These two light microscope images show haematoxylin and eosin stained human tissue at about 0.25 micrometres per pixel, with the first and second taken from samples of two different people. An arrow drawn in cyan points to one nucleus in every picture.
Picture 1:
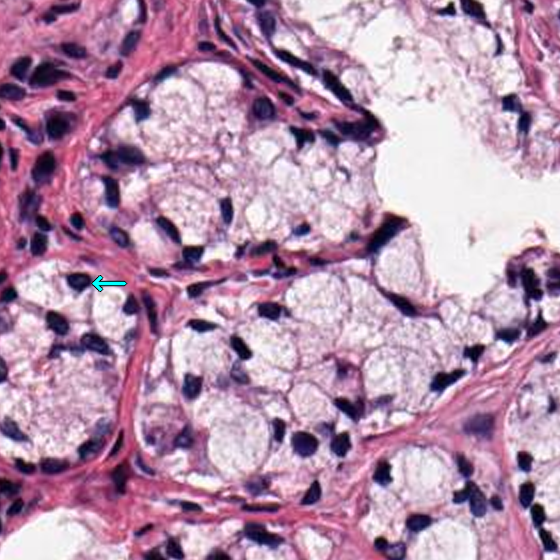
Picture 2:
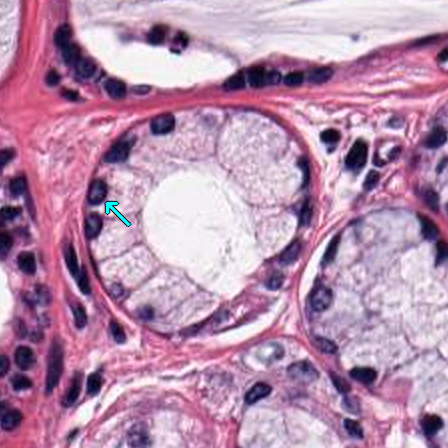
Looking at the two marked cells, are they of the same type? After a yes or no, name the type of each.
Yes, both are mucous gland cells.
